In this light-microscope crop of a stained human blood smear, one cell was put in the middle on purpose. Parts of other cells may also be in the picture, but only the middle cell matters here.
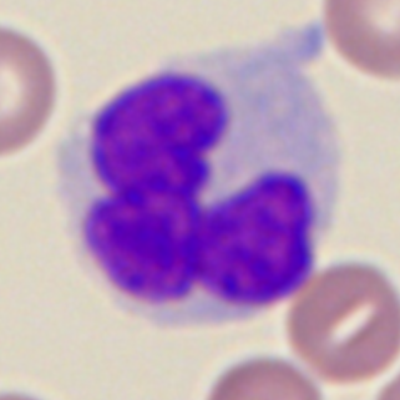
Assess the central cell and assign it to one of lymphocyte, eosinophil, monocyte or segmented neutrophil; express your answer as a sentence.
The cell of interest, located centrally, is a monocyte.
